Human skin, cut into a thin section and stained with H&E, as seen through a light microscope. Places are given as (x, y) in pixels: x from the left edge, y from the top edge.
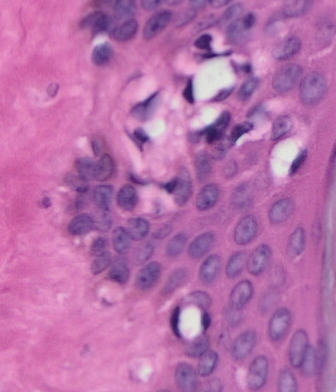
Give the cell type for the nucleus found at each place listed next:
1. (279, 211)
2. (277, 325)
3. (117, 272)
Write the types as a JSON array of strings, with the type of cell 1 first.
["suprabasal keratinocyte", "suprabasal keratinocyte", "basal keratinocyte"]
